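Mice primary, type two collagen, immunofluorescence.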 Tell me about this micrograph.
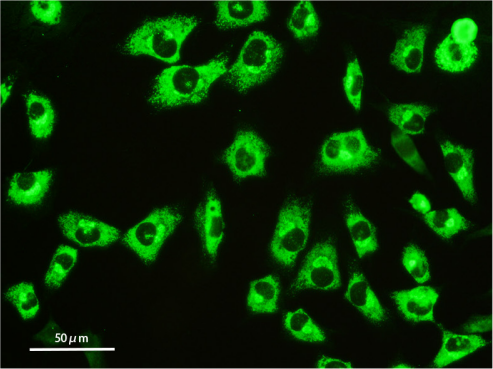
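Cultured chondrocytes lie scattered singly over a dark background, separated by clear spaces. Each cell is polygonal to spindle-shaped, some with short tapering processes. Bright green fluorescence fills the cytoplasm in a finely granular pattern.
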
